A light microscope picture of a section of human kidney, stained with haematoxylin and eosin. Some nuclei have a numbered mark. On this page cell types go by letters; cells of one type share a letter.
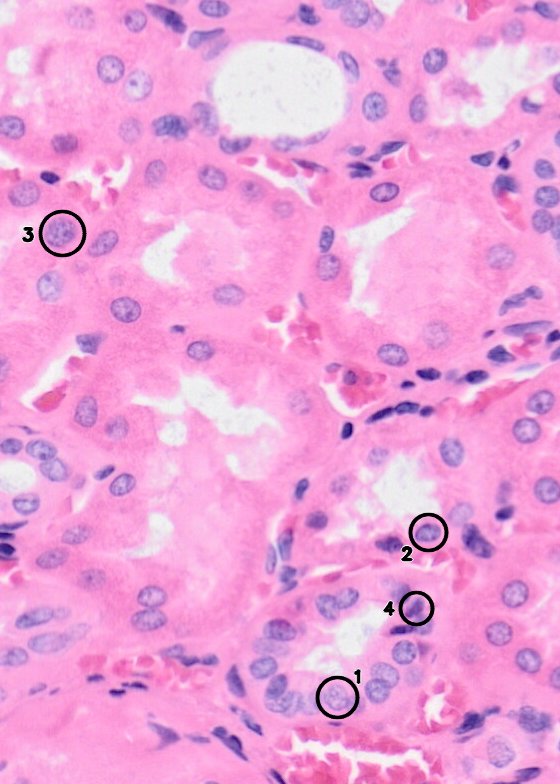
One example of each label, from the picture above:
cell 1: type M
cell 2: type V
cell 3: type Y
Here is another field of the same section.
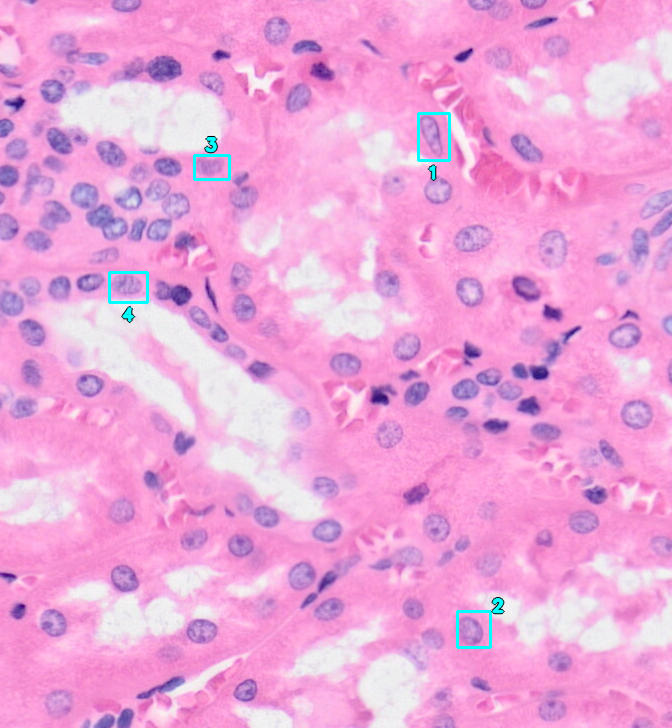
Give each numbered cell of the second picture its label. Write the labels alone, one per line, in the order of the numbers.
type Y
type Y
type V
type M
